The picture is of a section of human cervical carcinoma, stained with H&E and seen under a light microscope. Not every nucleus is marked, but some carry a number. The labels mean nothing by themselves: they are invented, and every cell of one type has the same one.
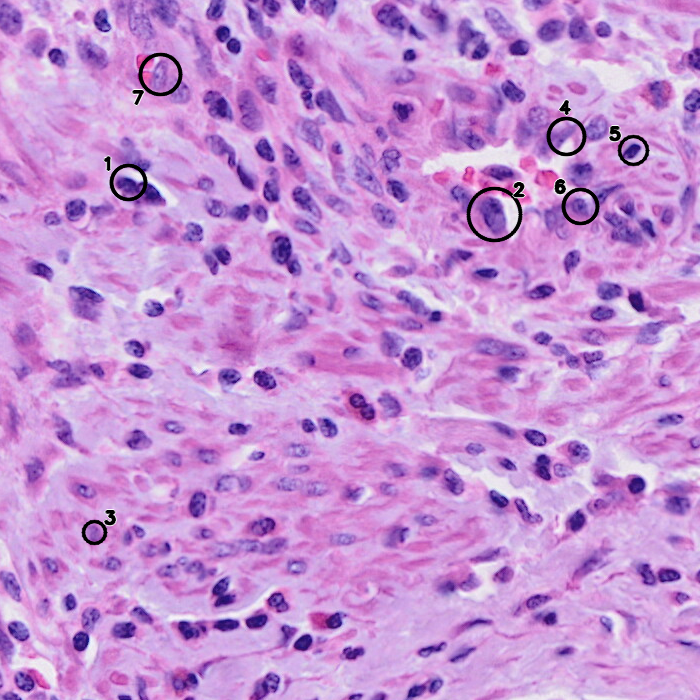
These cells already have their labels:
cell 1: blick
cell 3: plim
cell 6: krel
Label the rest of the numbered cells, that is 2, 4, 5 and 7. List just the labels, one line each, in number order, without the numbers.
krel
krel
blick
krel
